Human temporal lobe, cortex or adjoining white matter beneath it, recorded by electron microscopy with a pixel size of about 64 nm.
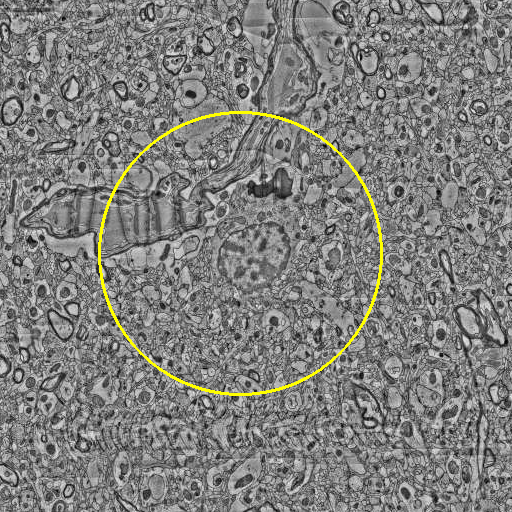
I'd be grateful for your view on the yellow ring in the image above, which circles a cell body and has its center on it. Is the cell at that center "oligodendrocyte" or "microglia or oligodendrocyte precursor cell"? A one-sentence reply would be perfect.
The cell at the center of the yellow ring is an oligodendrocyte.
